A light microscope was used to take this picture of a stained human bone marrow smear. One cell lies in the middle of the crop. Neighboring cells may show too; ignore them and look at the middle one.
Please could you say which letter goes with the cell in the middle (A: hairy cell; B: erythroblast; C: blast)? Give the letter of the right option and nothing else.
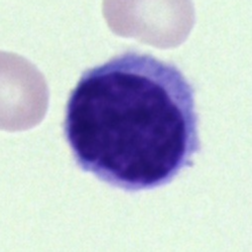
A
